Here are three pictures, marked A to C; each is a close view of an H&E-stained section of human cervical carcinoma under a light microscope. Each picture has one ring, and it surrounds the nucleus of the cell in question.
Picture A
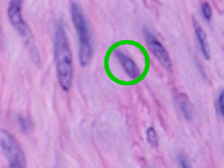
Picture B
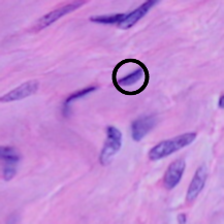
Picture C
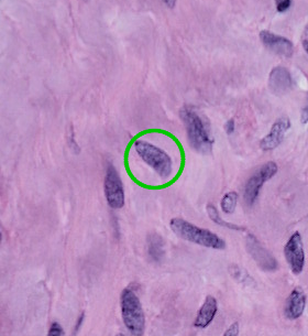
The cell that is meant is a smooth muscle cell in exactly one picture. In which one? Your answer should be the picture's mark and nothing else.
A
